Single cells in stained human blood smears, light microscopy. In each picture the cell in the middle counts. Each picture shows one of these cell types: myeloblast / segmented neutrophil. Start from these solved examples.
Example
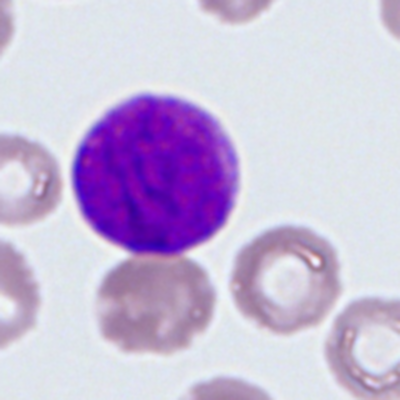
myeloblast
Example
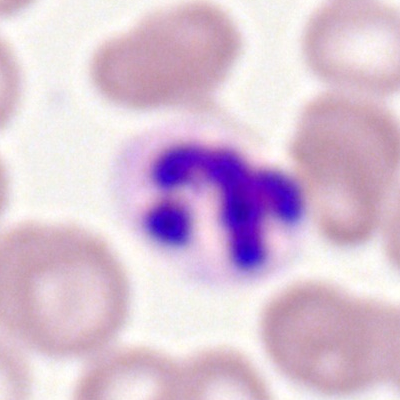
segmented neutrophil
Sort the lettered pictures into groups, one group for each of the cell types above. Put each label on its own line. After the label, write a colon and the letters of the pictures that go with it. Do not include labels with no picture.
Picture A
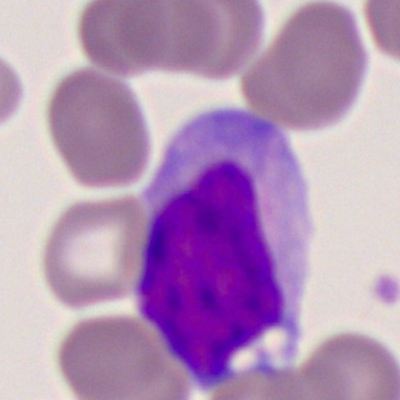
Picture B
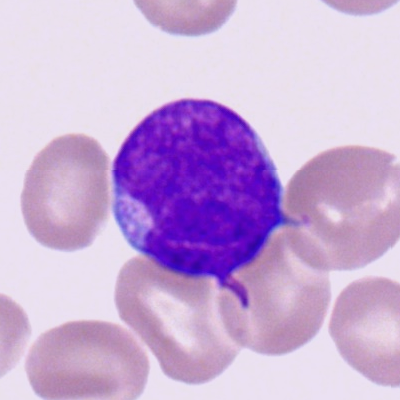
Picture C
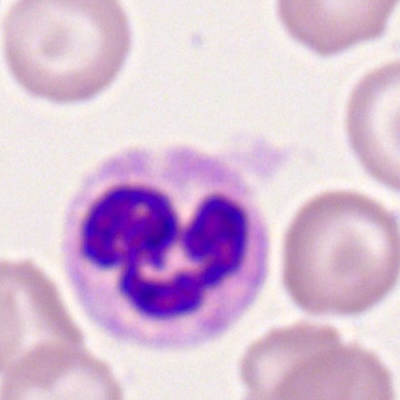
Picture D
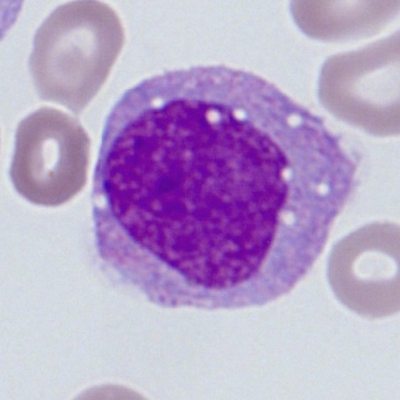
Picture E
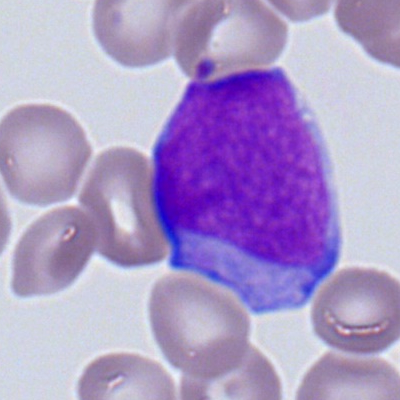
myeloblast: A, B, D, E
segmented neutrophil: C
